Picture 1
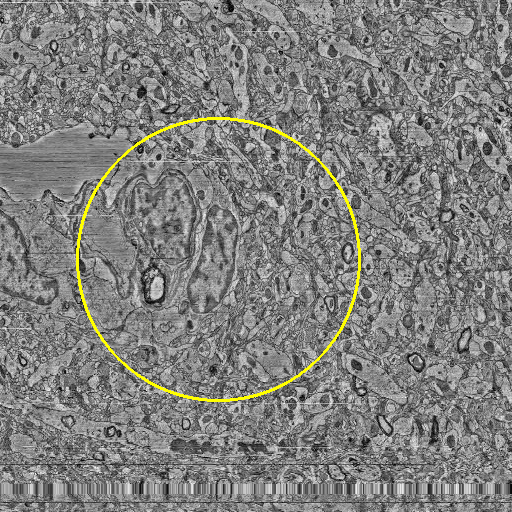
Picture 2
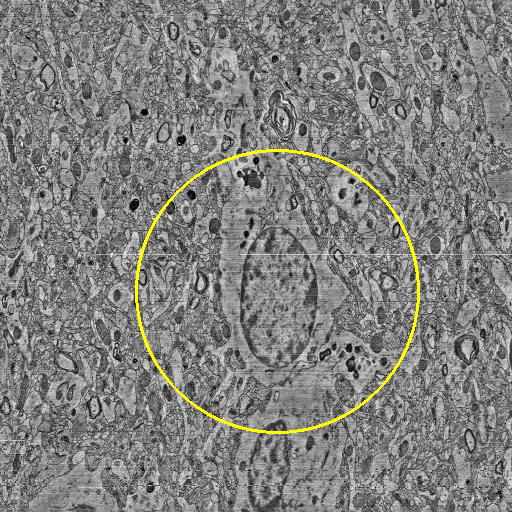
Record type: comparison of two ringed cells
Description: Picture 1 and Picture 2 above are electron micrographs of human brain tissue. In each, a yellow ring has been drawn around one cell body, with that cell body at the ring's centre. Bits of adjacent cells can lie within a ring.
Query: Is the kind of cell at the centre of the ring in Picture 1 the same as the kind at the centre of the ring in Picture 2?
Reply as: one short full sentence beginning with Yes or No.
No, the two ringed cells are of two separate kinds.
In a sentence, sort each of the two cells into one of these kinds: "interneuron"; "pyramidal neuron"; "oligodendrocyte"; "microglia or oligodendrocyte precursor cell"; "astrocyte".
The first of the two cells is a microglial cell or oligodendrocyte precursor cell, and the second is an astrocyte.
